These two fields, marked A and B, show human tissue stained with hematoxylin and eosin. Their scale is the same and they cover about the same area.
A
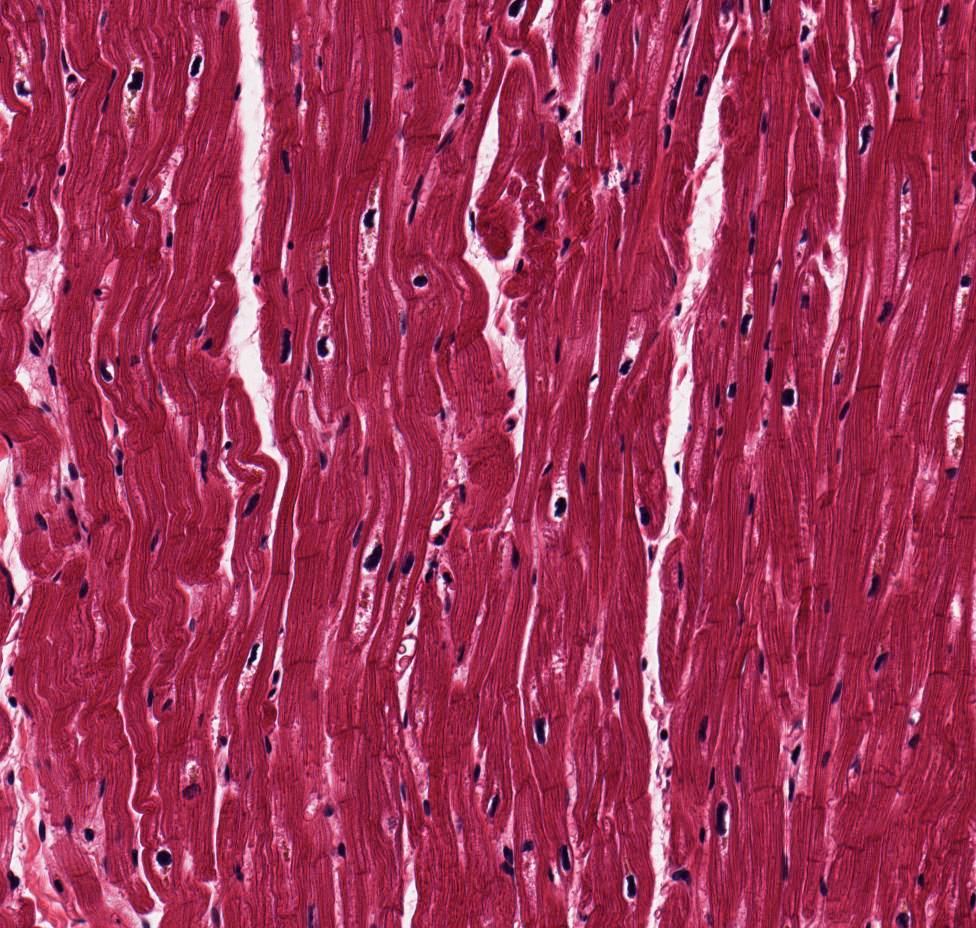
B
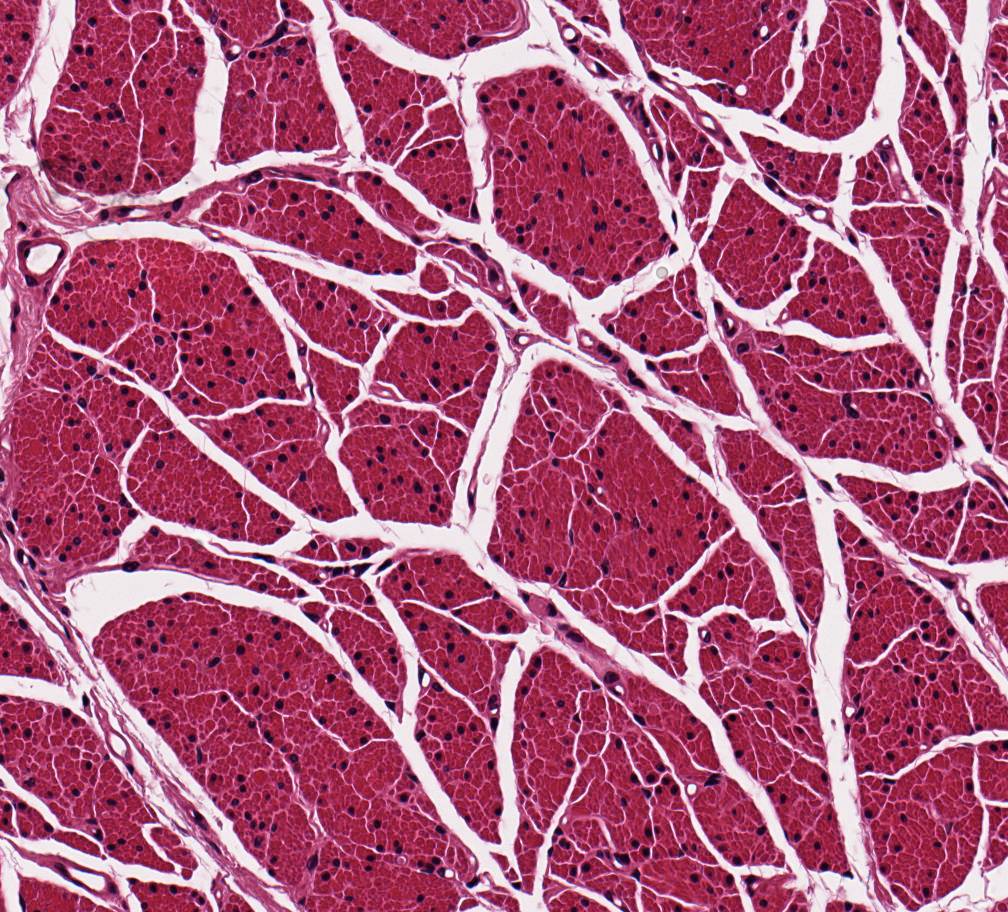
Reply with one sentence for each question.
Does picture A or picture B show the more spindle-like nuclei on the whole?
The nuclei are more elongated in picture A.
